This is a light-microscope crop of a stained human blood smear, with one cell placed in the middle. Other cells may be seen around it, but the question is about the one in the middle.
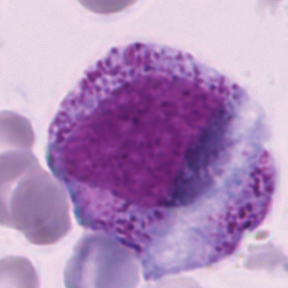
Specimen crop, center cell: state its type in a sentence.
Classification of the middle cell gives a promyelocyte.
